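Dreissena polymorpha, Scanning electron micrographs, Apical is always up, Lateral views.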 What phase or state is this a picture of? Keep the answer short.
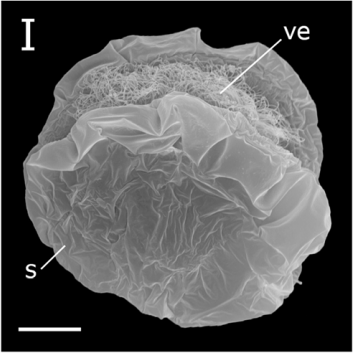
Late veliger larva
